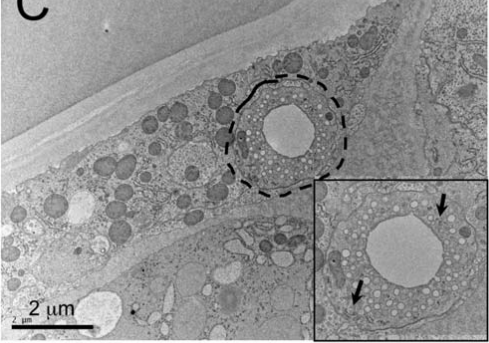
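This electron micrograph shows a cross-section through the excretory cell, a small round profile outlined by a dashed line and lying beneath the thick cuticle and surrounding tissue. At its centre is a large, round, electron-lucent lumen bounded by a smooth membrane. The lumen is encircled by many small round pale profiles, the canaliculi, packed in the thin rim of cytoplasm. Small membranous regions of endoplasmic reticulum lie on both sides of the lumen, marked by arrows in the enlarged inset. Neighbouring cells outside the outline contain many dark round mitochondria.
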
